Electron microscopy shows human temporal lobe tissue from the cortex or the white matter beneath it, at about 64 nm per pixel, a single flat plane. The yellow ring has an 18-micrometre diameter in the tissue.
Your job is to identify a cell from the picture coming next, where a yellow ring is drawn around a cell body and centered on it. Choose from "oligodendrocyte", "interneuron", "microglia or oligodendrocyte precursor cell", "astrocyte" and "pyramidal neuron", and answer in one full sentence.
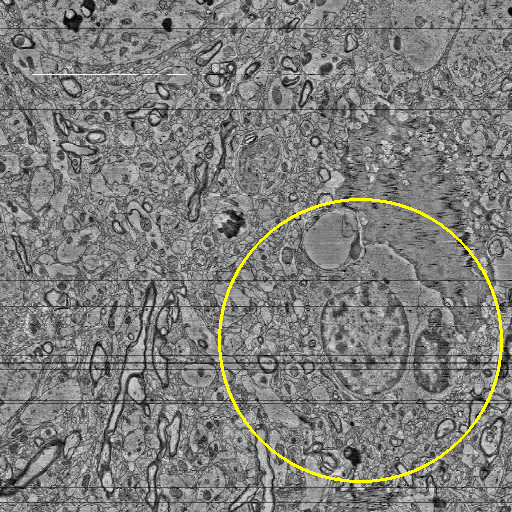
Centered in the yellow ring of the picture is the body of an oligodendrocyte.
